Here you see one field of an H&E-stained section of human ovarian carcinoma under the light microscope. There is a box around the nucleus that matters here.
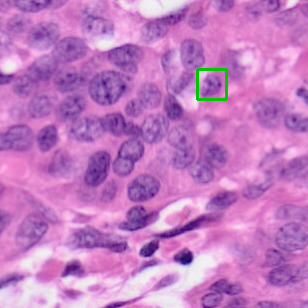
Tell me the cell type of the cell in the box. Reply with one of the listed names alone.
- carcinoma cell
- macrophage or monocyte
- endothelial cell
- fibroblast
macrophage or monocyte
